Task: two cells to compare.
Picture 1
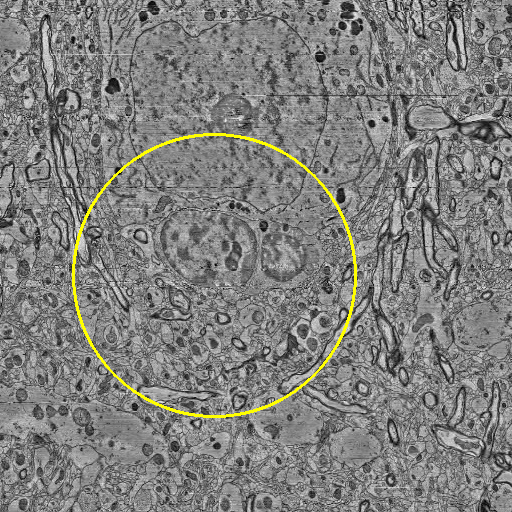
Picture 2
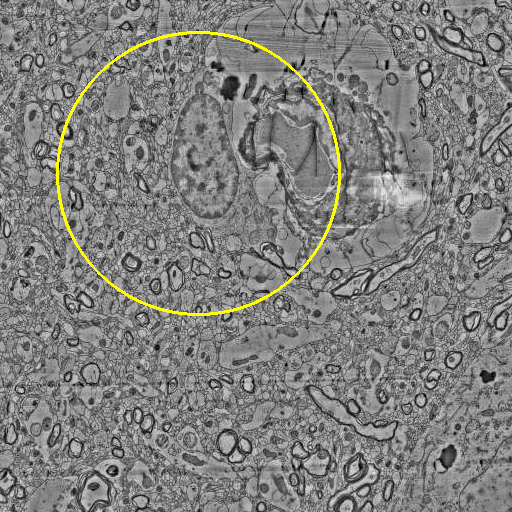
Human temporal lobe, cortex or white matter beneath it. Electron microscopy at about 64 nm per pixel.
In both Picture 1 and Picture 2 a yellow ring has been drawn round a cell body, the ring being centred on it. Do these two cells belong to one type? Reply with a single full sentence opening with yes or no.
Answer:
Yes, the two cells at the ring centres in Picture 1 and Picture 2 share one type.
